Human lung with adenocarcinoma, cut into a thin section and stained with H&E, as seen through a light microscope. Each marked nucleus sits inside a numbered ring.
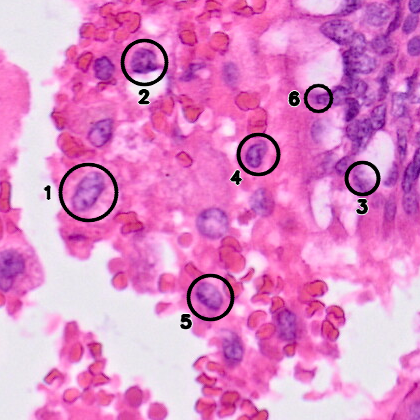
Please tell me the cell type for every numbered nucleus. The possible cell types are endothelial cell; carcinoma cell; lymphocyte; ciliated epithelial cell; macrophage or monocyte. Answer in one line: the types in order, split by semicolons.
macrophage or monocyte; macrophage or monocyte; ciliated epithelial cell; macrophage or monocyte; macrophage or monocyte; ciliated epithelial cell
